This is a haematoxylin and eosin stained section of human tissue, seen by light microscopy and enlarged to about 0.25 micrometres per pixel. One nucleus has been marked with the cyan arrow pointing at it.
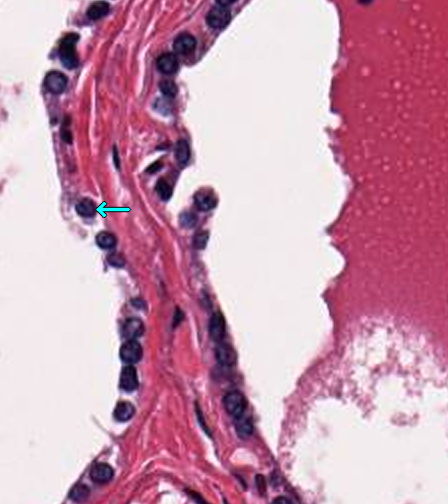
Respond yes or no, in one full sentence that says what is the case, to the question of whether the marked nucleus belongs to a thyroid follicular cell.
Yes, the marked nucleus is part of a thyroid follicular cell.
